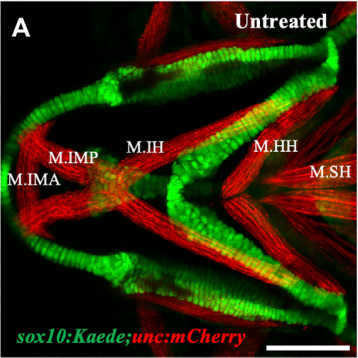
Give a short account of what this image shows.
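Ventral view of a larval branchial skeleton and its muscles: green cartilage made of stacked, disc-like cells forms a U-shaped anterior arch and a V-shaped arch behind it. Red striated muscle bundles run in parallel fibers, crossing at the midline in an X-shaped arrangement and inserting onto the cartilage rods.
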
